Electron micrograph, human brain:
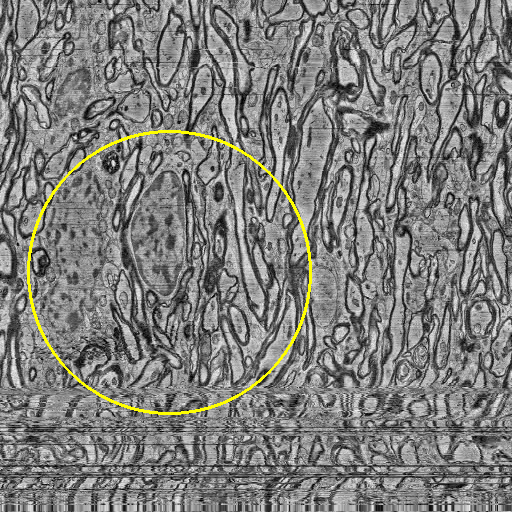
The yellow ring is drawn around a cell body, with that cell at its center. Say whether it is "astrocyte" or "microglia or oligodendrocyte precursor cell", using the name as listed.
microglia or oligodendrocyte precursor cell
